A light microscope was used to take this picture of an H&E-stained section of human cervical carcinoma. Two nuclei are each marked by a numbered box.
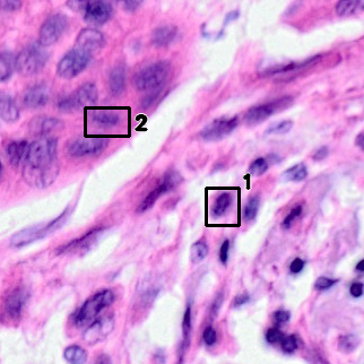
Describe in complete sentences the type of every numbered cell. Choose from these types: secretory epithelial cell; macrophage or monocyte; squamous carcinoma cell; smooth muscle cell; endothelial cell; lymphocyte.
Cell 1 is a lymphocyte and cell 2 is a squamous carcinoma cell.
